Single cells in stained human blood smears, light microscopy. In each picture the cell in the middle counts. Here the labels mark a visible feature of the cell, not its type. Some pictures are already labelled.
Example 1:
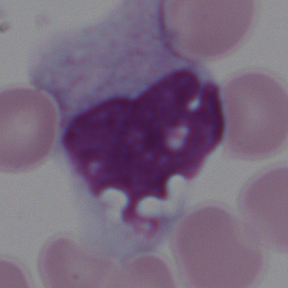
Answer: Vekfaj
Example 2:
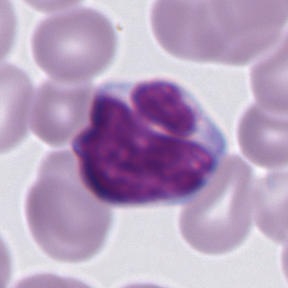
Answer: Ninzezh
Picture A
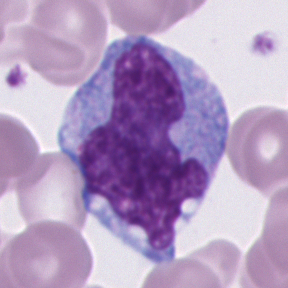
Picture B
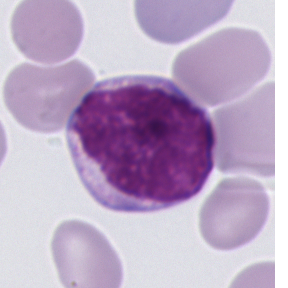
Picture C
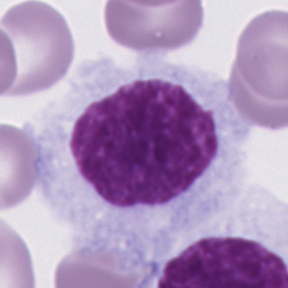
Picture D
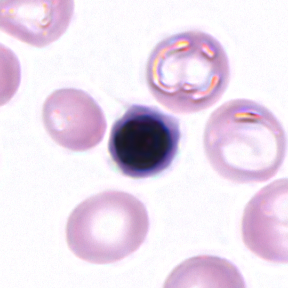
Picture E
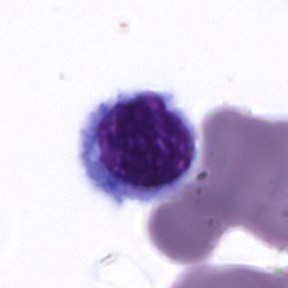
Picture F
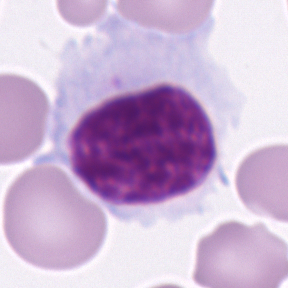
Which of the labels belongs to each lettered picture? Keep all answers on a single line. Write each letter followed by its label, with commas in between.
A Vekfaj, B Ninzezh, C Vekfaj, D Ninzezh, E Ninzezh, F Vekfaj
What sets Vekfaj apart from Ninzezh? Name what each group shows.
Vekfaj: abundant cytoplasm; Ninzezh: scant cytoplasm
